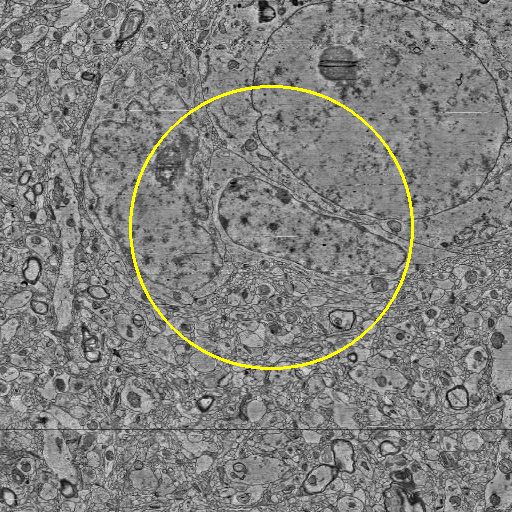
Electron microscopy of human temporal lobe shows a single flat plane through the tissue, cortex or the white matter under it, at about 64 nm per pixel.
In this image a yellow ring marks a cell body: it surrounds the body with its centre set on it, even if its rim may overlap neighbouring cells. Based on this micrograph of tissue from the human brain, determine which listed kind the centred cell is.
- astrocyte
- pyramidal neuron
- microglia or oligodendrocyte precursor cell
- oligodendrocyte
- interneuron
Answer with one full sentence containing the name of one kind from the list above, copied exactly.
It is a microglial cell or oligodendrocyte precursor cell whose body the yellow ring encloses at its centre.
